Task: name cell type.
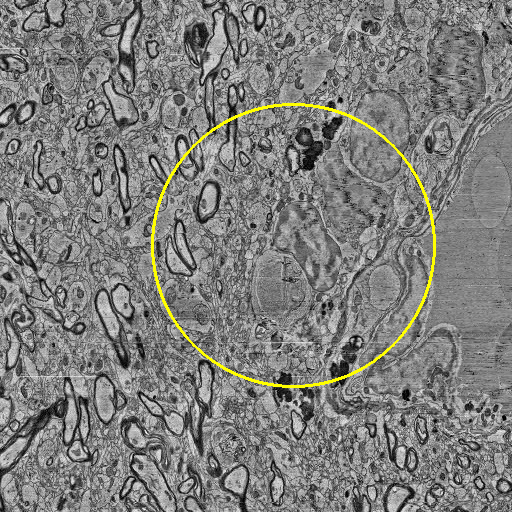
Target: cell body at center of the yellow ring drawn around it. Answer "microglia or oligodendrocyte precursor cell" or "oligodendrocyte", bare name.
microglia or oligodendrocyte precursor cell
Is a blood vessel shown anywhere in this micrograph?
Yes, there is one.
